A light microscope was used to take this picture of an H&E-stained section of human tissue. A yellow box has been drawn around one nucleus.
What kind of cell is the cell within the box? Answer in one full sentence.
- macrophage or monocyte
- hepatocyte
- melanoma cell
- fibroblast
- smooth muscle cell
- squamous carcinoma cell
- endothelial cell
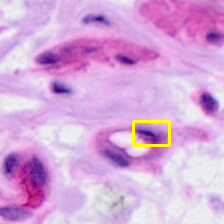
The identity of the cell within the box: it is an endothelial cell.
